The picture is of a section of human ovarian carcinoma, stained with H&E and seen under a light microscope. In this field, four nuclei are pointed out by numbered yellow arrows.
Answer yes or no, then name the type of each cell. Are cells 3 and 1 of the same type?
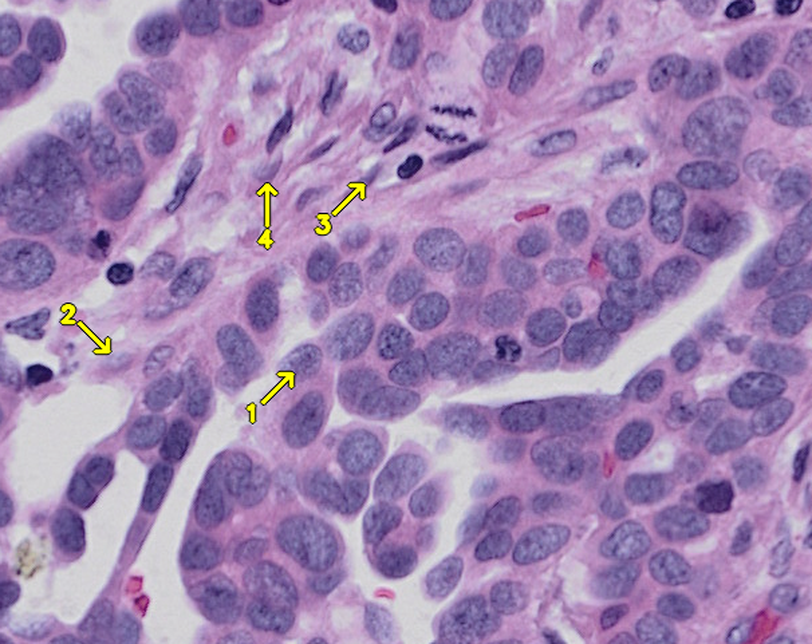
No, cell 1 is a carcinoma cell, while cell 3 is a fibroblast.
